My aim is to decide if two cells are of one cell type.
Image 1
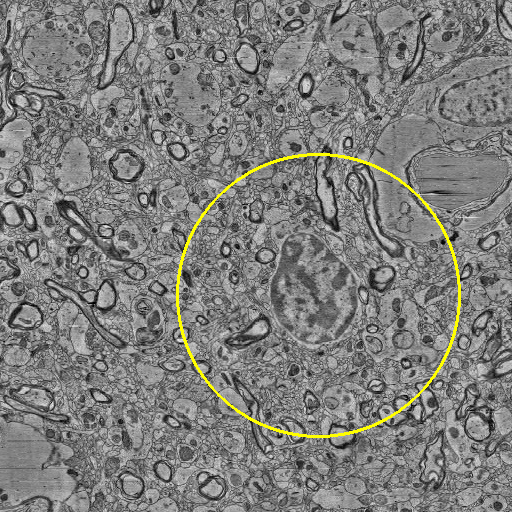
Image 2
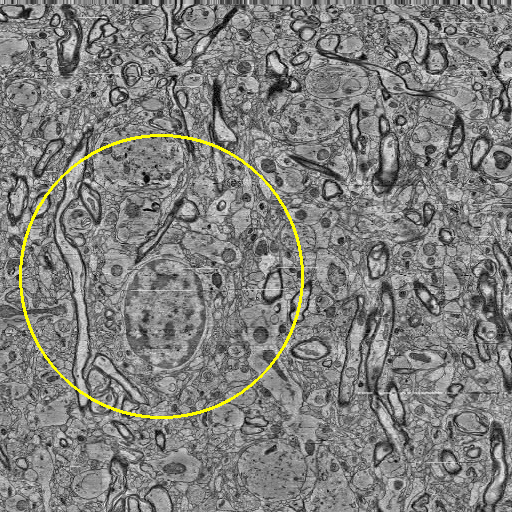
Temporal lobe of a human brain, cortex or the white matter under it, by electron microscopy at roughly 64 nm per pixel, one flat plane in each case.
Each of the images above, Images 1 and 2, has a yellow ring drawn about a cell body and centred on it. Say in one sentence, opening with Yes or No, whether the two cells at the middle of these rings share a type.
Yes, in Images 1 and 2 the cells at the middle of the rings share one type.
